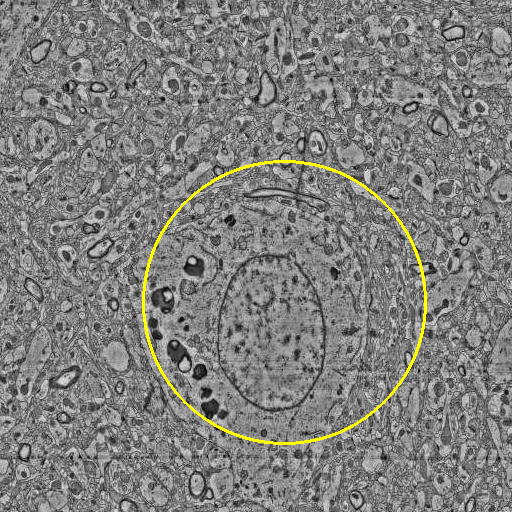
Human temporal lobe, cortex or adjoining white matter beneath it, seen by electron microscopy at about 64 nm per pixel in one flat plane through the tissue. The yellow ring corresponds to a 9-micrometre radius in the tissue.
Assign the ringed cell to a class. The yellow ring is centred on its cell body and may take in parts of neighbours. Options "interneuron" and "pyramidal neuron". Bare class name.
pyramidal neuron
